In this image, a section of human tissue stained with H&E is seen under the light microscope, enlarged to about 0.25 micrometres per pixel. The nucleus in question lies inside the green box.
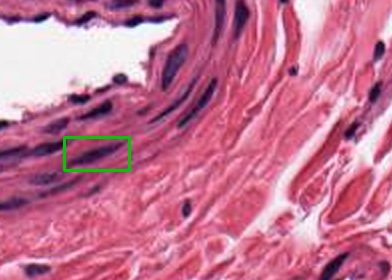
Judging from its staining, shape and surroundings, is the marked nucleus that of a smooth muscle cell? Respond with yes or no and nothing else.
yes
